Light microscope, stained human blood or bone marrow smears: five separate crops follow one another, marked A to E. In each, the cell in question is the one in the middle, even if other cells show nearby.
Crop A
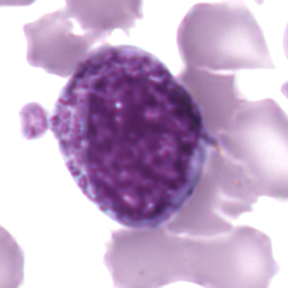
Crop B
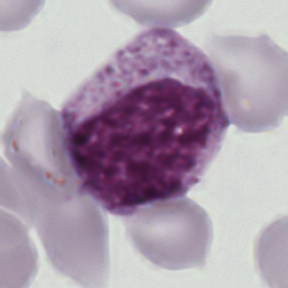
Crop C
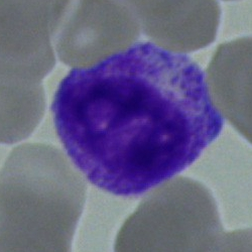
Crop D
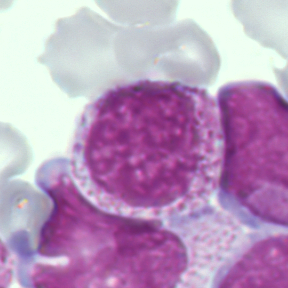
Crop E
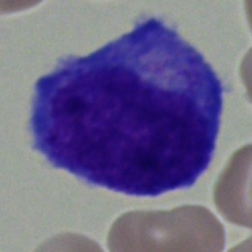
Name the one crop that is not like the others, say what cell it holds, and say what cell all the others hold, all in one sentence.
The exception in this group is crop E, a promyelocyte, and the others are all myelocytes.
